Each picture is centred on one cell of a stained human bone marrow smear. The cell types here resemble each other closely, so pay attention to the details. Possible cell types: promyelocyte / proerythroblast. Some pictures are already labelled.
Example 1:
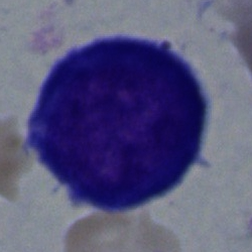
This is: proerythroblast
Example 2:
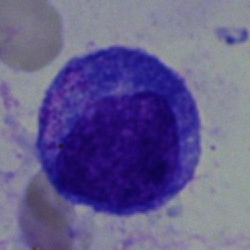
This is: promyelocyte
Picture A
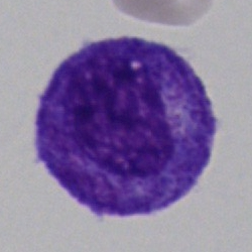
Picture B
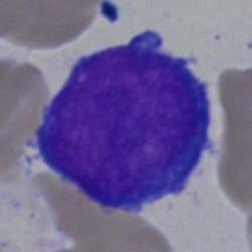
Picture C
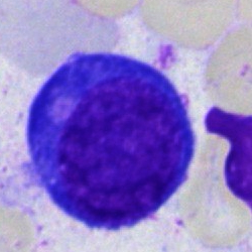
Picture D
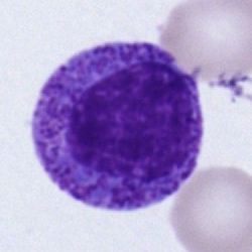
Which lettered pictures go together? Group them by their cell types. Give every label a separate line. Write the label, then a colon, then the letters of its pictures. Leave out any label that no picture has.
promyelocyte: A, D
proerythroblast: B, C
